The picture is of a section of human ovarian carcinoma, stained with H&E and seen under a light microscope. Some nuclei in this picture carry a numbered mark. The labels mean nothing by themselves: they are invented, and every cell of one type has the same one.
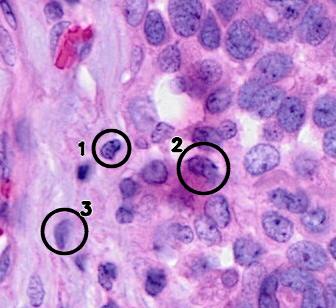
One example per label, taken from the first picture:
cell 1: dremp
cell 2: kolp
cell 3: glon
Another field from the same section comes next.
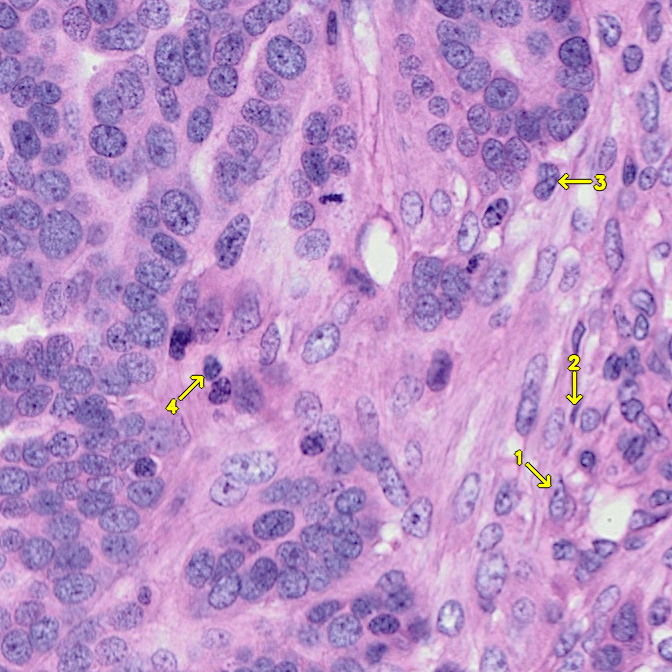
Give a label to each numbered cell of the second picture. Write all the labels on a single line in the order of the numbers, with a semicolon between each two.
glon; glon; kolp; dremp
